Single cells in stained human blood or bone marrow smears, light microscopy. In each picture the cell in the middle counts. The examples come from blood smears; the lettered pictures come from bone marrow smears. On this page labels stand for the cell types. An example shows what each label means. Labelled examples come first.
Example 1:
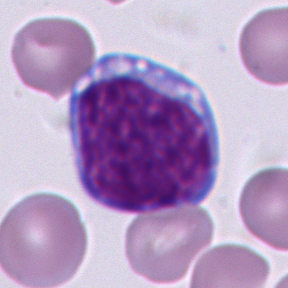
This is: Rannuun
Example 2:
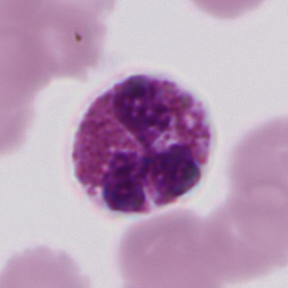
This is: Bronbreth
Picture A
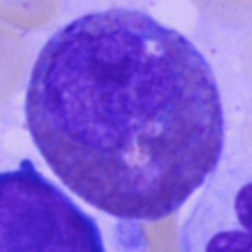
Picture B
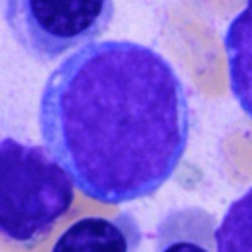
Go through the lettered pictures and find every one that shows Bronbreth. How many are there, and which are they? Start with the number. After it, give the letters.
1, namely A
